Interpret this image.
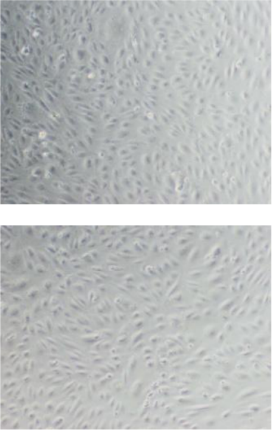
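Cultured cells of endothelial-like morphology forming a confluent monolayer, shown at low magnification in phase contrast. The cells are flat and polygonal to somewhat elongated, packed side by side across the whole field with little space between them. Their outlines appear as fine bright and dark phase borders, and the two images show a similar dense, even layer.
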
